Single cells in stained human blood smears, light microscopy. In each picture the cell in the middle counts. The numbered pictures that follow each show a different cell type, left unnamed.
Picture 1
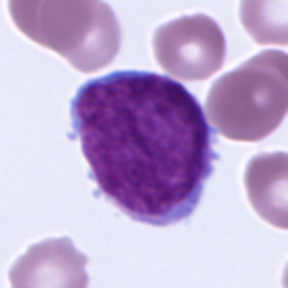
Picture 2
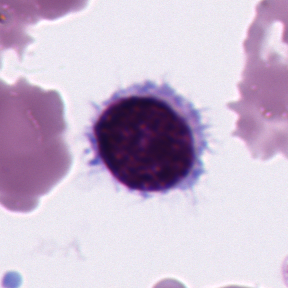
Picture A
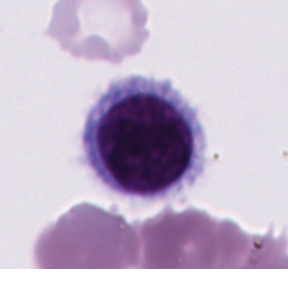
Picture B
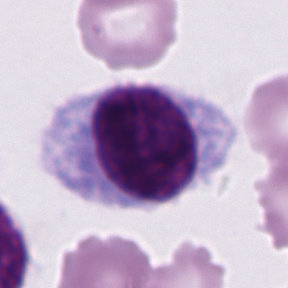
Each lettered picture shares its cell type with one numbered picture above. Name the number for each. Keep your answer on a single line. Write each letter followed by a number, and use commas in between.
A 2, B 2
